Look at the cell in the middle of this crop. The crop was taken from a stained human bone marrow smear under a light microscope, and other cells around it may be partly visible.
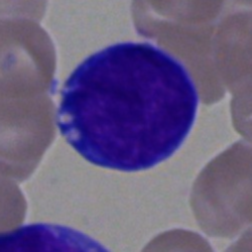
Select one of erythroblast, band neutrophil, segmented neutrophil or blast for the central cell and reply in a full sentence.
The crop's centre is taken up by a blast.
